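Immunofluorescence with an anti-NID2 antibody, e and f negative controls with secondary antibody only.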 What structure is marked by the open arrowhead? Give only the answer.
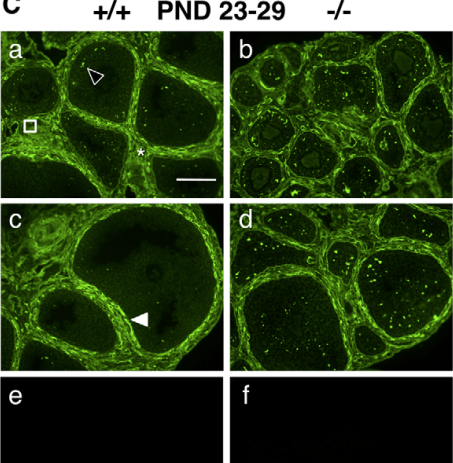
Focimatrix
